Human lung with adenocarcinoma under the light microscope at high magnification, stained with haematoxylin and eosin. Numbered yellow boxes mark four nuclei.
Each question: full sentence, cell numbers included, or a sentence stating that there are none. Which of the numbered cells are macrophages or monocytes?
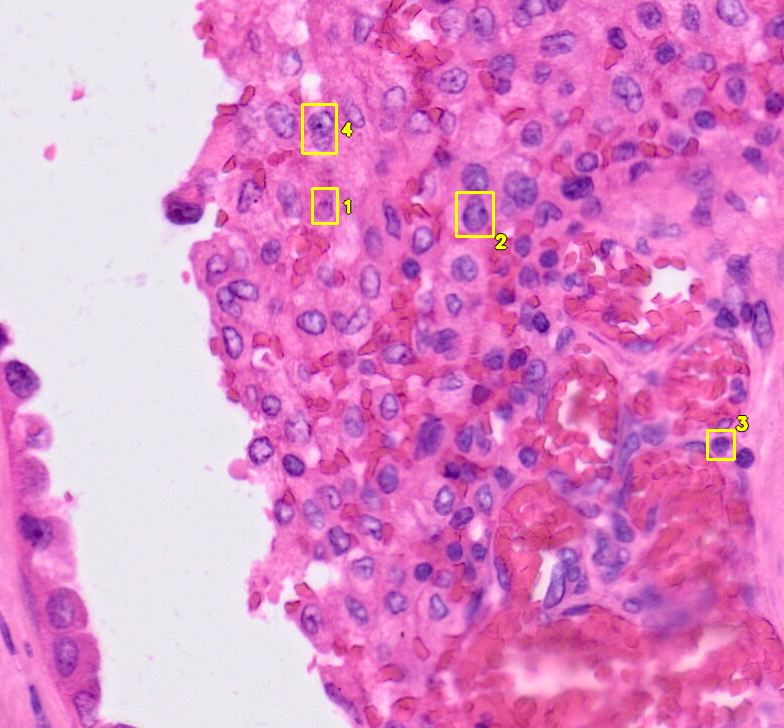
The cells numbered 1, 2 and 4 fall into the category of macrophages or monocytes.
